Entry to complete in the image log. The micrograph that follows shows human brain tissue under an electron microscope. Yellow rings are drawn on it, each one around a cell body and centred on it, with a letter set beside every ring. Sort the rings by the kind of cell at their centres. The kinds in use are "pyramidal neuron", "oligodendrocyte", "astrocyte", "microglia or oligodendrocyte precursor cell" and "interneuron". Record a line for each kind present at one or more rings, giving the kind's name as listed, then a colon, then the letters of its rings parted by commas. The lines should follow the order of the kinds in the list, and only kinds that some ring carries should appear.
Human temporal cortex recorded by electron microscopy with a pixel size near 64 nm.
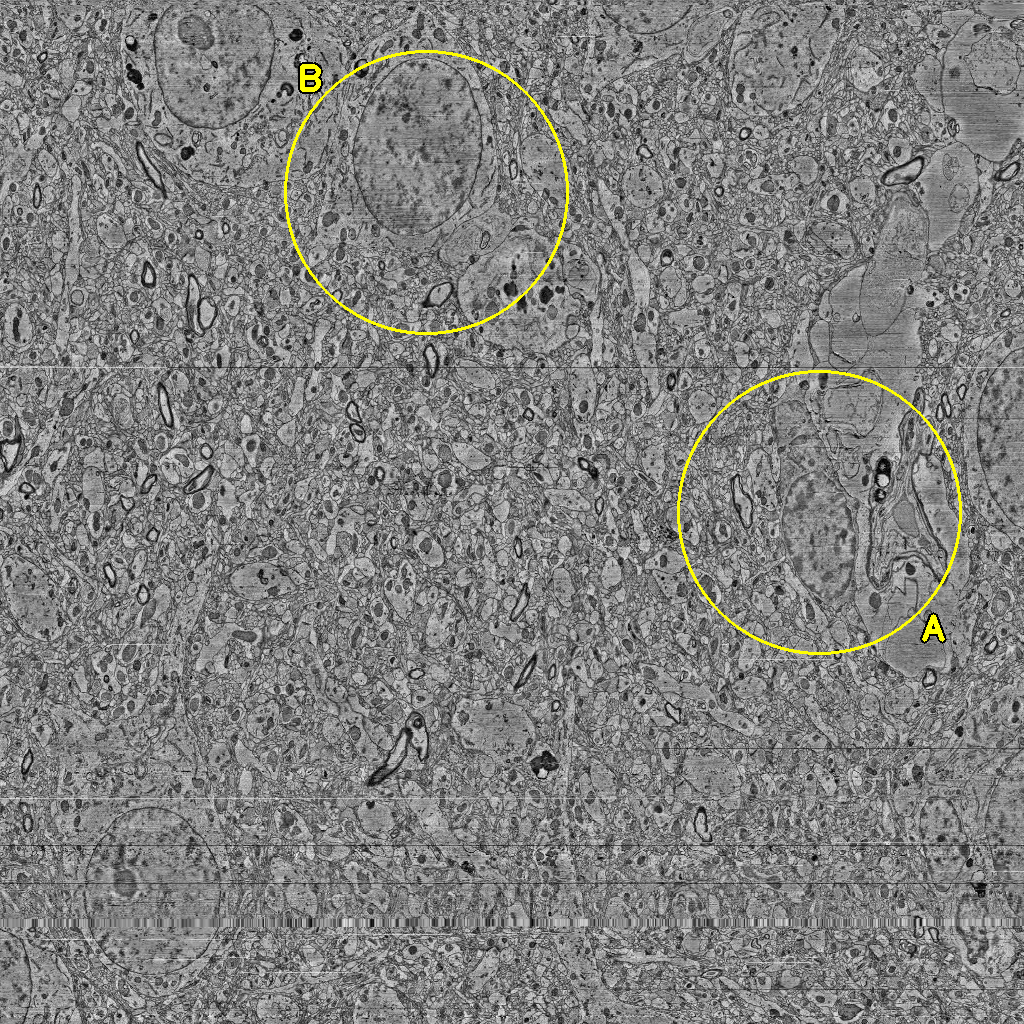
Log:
pyramidal neuron: B
oligodendrocyte: A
